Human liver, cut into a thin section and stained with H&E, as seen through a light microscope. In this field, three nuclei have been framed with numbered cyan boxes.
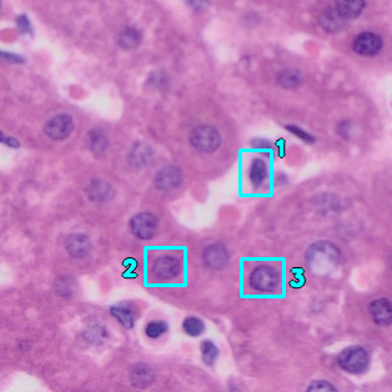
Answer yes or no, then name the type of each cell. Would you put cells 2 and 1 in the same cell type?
No, with respect, cell 2 is a hepatocyte and cell 1 is a lymphocyte.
